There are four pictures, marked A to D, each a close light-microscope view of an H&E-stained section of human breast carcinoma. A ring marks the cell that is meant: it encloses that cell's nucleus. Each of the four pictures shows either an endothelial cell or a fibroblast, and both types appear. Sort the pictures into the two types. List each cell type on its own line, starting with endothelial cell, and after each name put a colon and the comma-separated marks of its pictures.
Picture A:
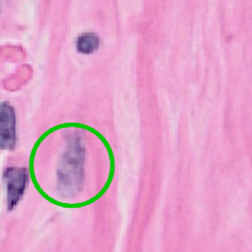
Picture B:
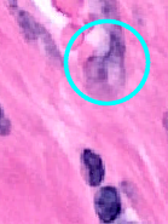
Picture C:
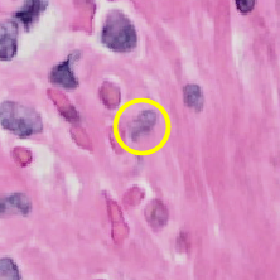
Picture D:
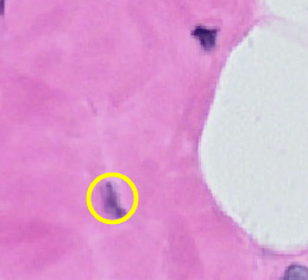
endothelial cell: B, C
fibroblast: A, D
